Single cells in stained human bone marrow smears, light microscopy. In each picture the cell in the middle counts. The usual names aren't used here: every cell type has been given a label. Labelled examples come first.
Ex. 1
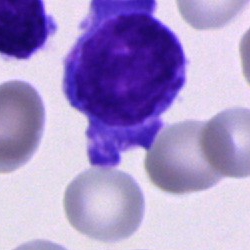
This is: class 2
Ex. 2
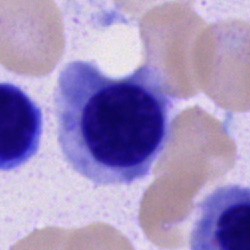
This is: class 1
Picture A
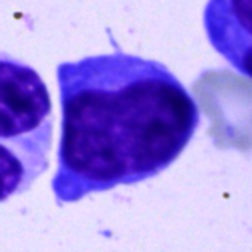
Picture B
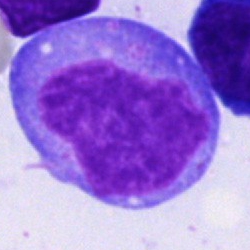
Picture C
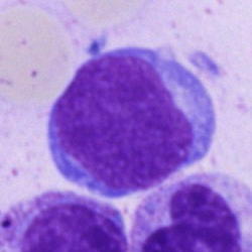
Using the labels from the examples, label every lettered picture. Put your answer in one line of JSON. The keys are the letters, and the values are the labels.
{"A": "class 2", "B": "class 2", "C": "class 2"}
